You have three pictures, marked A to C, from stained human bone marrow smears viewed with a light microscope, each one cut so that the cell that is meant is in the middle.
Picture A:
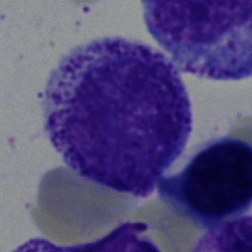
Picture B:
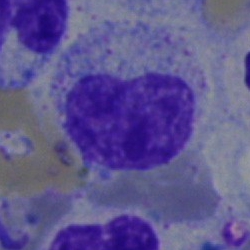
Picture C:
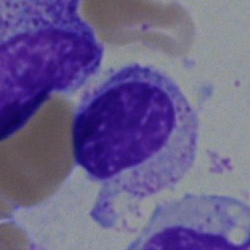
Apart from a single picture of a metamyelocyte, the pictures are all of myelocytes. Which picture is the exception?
B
